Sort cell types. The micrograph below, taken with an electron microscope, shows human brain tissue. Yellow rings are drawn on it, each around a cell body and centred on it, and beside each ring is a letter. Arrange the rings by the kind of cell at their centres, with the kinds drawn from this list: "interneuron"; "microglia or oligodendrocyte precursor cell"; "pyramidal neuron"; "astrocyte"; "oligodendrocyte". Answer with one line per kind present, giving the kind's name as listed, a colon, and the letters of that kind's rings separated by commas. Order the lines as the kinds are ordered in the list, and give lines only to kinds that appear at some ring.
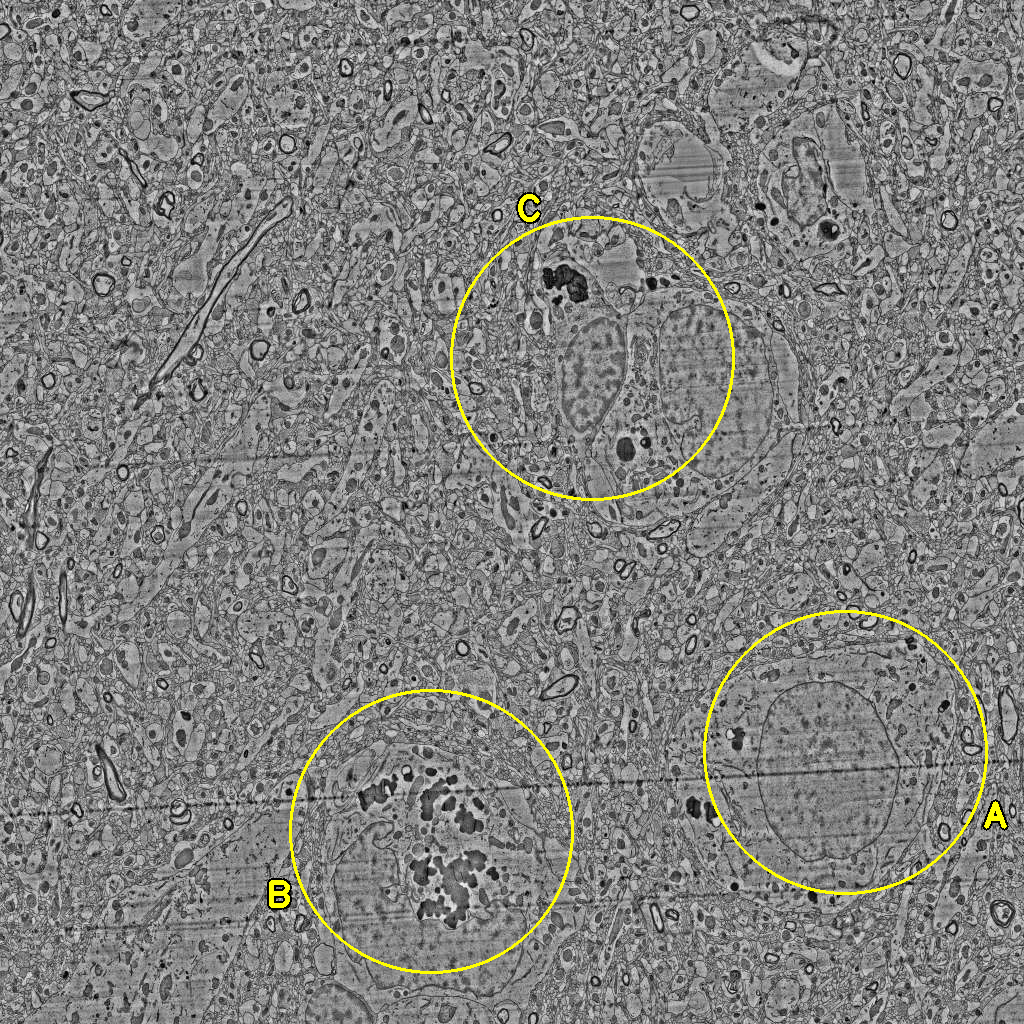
interneuron: B
pyramidal neuron: A
astrocyte: C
